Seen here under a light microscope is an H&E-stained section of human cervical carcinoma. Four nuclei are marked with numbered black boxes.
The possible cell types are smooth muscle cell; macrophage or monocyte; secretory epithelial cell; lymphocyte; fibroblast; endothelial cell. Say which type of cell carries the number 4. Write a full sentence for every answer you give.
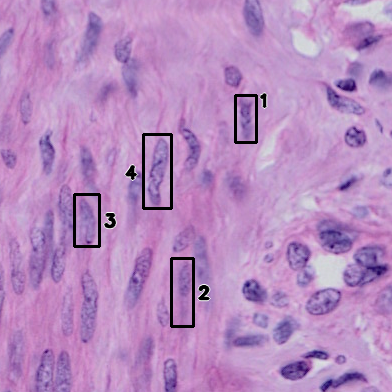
The cell bearing label 4 corresponds to a smooth muscle cell.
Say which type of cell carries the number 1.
The cell pointed out as number 1 is a fibroblast.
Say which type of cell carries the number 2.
Identified by the number 2, the cell is a smooth muscle cell.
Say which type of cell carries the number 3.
In this section, number 3 marks a smooth muscle cell.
